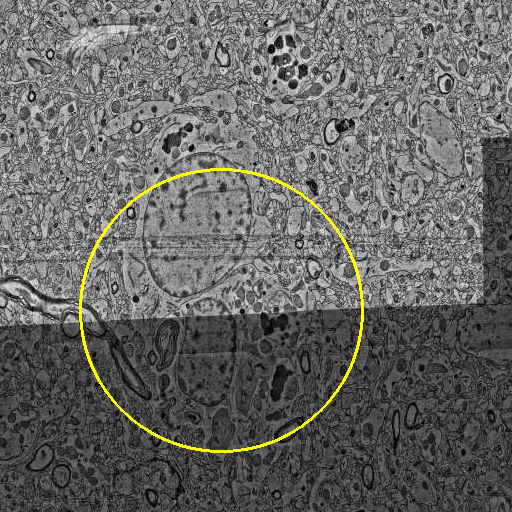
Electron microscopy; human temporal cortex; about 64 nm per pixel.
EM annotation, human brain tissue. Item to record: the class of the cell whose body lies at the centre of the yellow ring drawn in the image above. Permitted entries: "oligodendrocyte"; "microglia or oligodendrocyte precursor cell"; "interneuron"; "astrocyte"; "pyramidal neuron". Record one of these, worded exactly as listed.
astrocyte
